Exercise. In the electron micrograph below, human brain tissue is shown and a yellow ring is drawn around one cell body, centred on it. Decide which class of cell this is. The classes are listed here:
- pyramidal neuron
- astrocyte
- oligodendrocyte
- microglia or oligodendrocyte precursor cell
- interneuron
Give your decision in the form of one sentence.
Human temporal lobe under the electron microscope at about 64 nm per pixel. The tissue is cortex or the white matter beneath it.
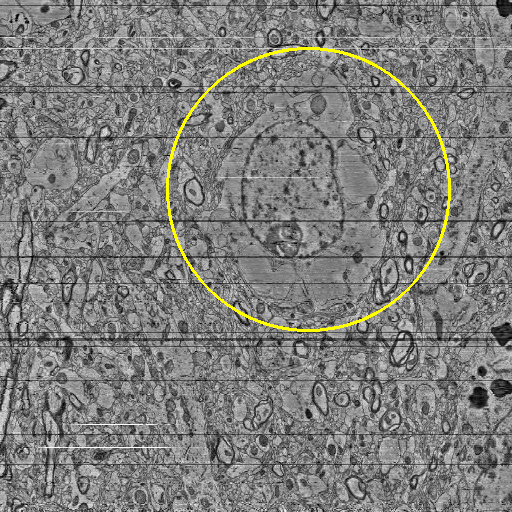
The cell body marked by the ring belongs to an astrocyte.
